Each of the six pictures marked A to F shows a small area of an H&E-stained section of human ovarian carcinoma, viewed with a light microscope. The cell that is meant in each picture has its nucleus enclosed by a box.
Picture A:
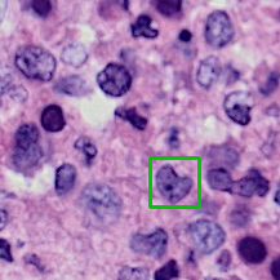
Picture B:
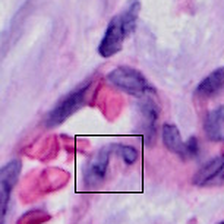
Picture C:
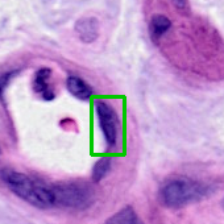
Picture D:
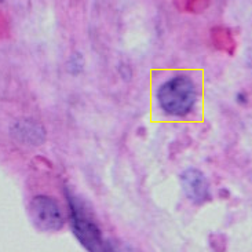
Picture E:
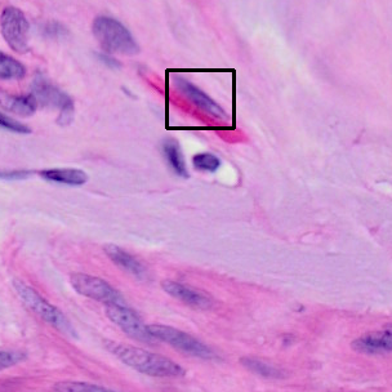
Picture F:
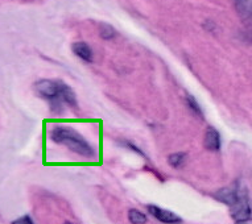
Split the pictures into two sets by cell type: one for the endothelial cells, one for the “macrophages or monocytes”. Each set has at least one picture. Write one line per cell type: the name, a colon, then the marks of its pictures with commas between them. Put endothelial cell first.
endothelial cell: B, C, E, F
macrophage or monocyte: A, D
